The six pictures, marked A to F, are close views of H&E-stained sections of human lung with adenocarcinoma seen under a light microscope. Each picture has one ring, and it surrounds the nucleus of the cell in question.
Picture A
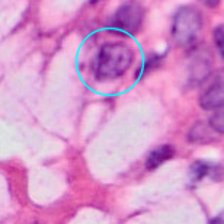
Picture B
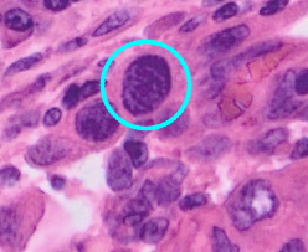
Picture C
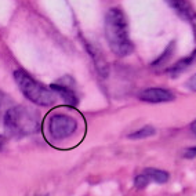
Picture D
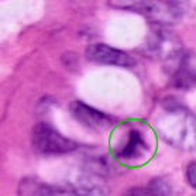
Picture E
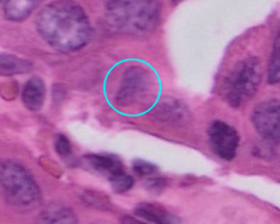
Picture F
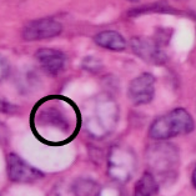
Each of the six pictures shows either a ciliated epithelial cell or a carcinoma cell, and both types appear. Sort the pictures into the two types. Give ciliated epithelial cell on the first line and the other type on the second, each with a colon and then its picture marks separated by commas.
ciliated epithelial cell: A, C, D, F
carcinoma cell: B, E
